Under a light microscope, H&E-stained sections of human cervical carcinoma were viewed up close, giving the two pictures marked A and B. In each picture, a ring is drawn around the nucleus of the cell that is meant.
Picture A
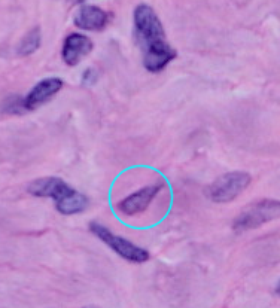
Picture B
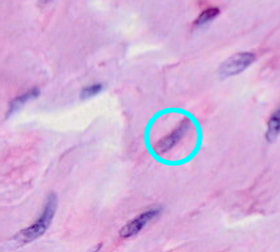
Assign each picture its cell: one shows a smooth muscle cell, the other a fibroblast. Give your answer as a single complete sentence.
Picture A shows a fibroblast and picture B shows a smooth muscle cell.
